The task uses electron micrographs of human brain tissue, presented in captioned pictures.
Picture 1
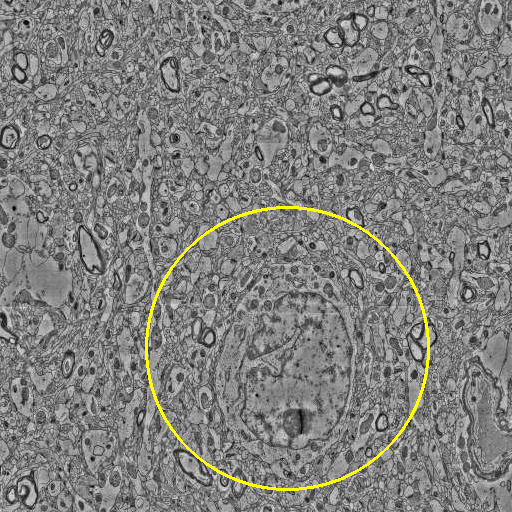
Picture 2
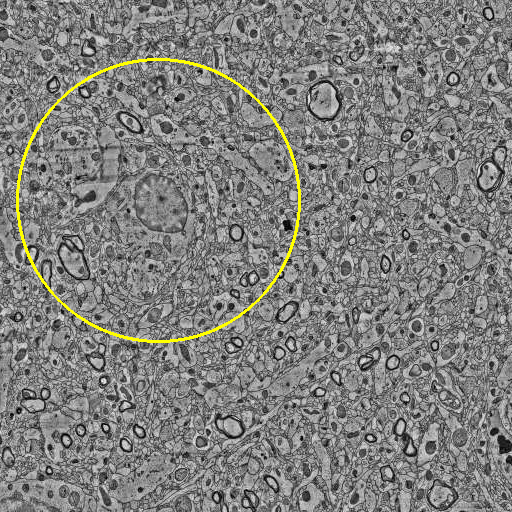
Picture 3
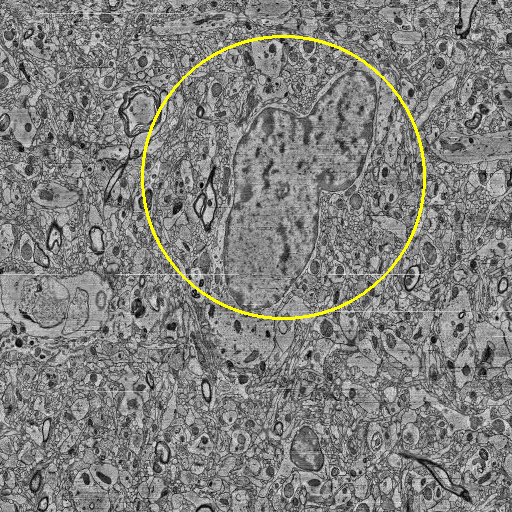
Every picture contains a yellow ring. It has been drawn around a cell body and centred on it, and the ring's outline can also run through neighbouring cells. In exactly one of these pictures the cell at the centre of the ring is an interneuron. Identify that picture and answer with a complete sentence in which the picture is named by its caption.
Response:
The ring in Picture 1 is centred on that kind of cell.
